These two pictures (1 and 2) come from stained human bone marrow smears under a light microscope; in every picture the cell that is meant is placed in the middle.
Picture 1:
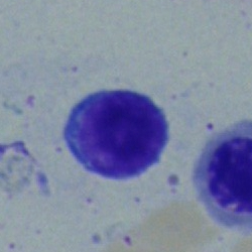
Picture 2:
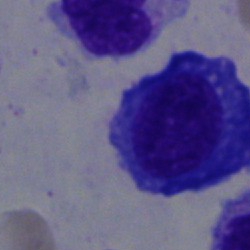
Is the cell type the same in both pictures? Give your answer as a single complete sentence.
No, the types are not the same, since picture 1 shows a lymphocyte and picture 2 a plasma cell.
